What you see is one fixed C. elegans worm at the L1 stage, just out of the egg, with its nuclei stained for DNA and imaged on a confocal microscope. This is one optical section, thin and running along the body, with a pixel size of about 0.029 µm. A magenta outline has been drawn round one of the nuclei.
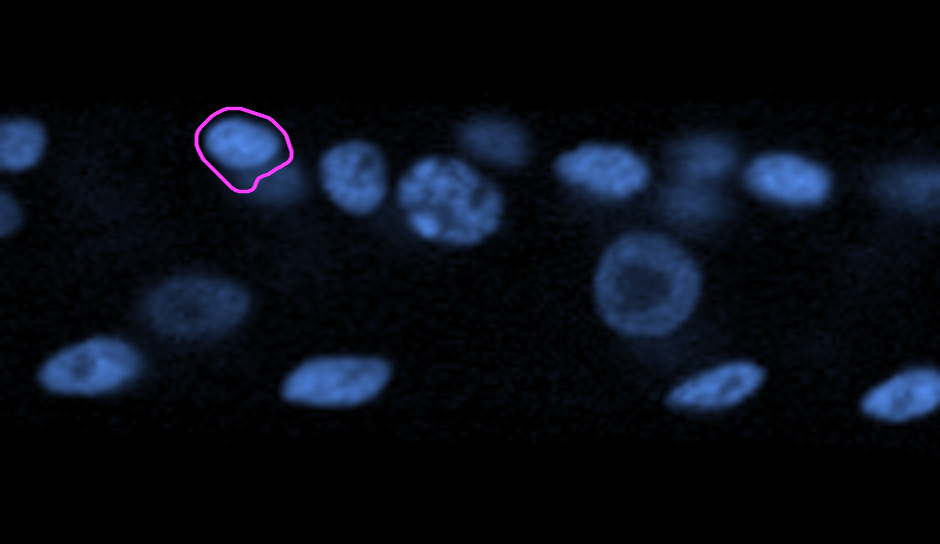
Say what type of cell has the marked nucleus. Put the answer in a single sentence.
This is the nucleus of a neuron.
